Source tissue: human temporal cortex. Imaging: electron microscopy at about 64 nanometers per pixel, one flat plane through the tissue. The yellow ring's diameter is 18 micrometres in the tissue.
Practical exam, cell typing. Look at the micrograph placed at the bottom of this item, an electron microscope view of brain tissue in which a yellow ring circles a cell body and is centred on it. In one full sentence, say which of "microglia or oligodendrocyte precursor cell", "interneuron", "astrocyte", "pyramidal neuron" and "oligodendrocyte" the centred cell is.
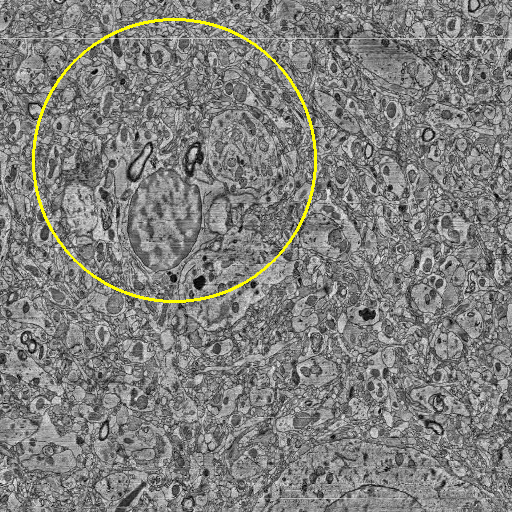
Given the options, a microglial cell or oligodendrocyte precursor cell fits the cell whose body the yellow ring is centred on.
